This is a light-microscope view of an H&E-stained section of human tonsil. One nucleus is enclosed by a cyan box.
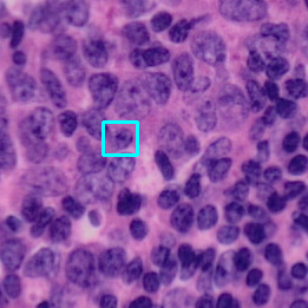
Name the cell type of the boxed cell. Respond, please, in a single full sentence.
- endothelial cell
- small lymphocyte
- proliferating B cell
In cellular terms, the boxed cell is a proliferating B cell.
